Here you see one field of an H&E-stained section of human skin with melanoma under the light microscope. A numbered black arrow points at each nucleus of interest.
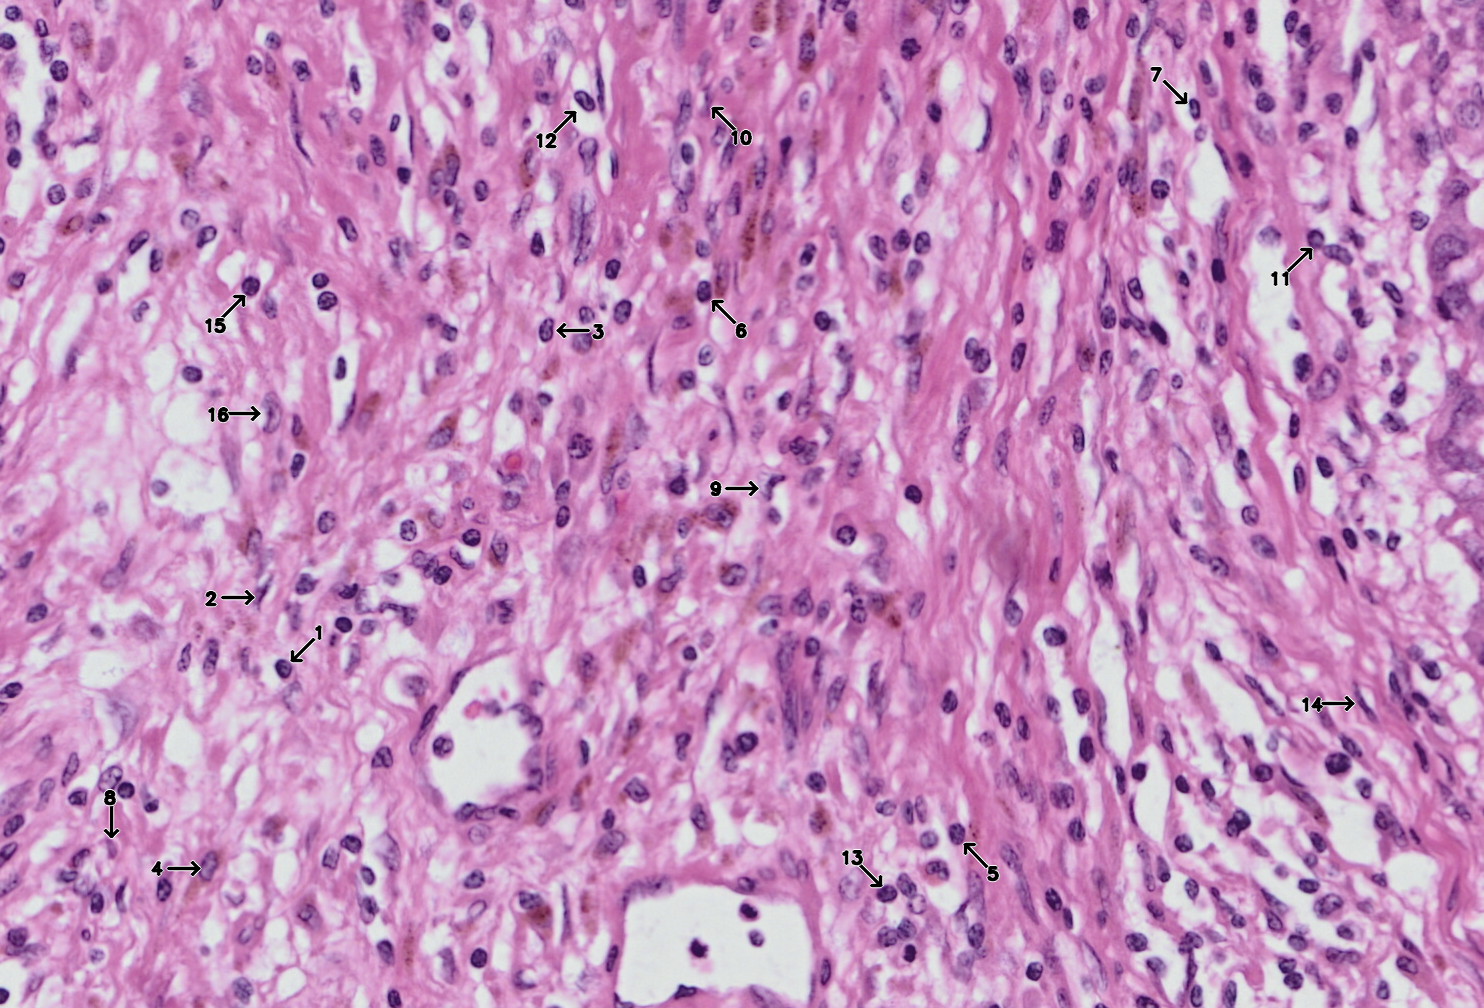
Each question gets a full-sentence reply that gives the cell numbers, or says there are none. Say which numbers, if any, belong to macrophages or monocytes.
No marked cell except number 4 is a macrophage or monocyte.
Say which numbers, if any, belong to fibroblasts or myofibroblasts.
The numbers 2, 8, 9, 10, 14 and 16 in this section indicate fibroblasts or myofibroblasts.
